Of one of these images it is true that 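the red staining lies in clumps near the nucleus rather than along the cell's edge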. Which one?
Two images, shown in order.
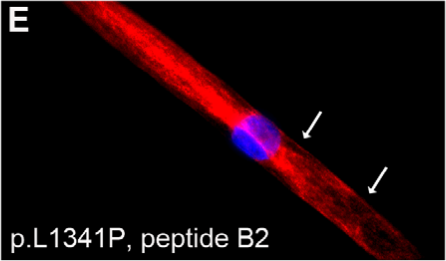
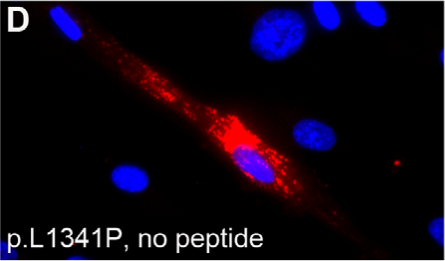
The second image.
